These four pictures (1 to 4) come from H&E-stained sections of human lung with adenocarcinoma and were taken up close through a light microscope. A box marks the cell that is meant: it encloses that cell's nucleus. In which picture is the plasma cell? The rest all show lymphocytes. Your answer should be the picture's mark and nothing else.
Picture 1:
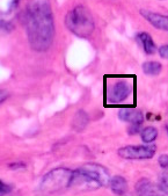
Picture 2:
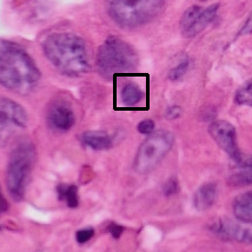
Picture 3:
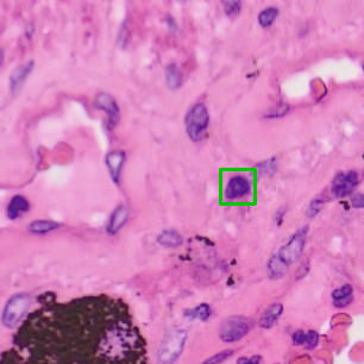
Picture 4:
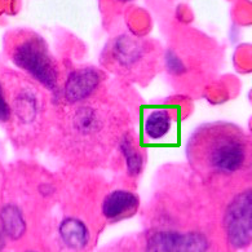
3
